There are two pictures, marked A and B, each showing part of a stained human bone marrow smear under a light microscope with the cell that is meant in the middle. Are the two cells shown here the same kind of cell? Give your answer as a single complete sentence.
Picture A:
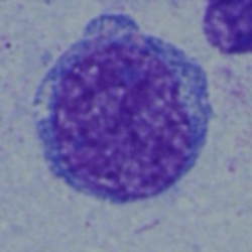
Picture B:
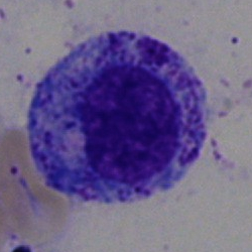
No, the types are not the same, since picture A shows a blast and picture B a myelocyte.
